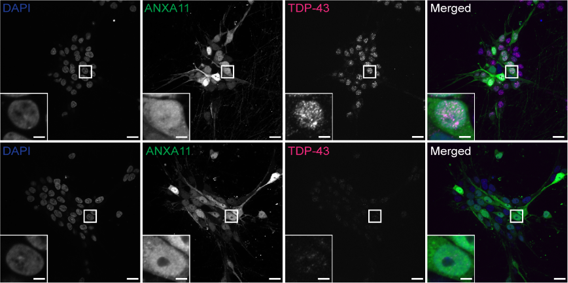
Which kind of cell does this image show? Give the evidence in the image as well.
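Cell bodies give off long, thin processes. The processes form a branching network between the cells. Round nuclei sit in small cell bodies clustered in groups. So: neurons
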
